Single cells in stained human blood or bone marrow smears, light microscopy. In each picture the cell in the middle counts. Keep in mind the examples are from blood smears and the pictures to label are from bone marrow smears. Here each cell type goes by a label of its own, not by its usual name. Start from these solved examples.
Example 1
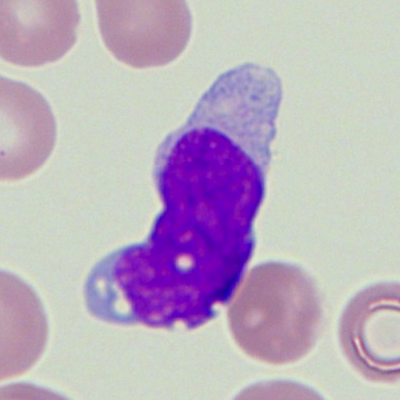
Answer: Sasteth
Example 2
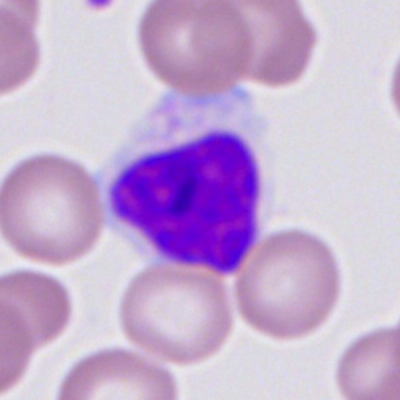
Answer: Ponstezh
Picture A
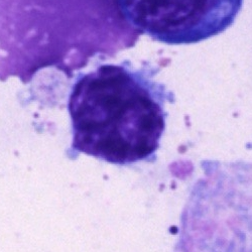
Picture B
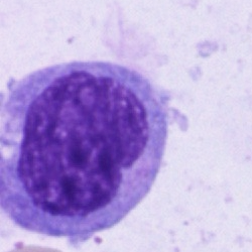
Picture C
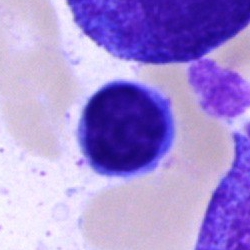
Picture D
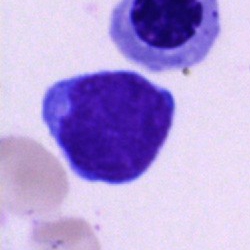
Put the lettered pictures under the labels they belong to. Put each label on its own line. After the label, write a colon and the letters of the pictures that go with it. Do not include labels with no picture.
Sasteth: B
Ponstezh: A, C, D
